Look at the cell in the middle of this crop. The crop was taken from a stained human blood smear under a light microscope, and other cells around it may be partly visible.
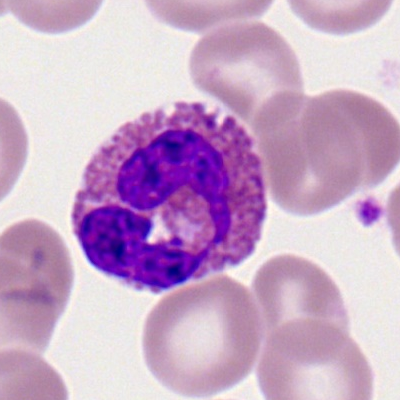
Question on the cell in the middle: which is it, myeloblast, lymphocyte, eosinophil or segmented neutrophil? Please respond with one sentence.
Classified as an eosinophil is the cell in the middle of this crop.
